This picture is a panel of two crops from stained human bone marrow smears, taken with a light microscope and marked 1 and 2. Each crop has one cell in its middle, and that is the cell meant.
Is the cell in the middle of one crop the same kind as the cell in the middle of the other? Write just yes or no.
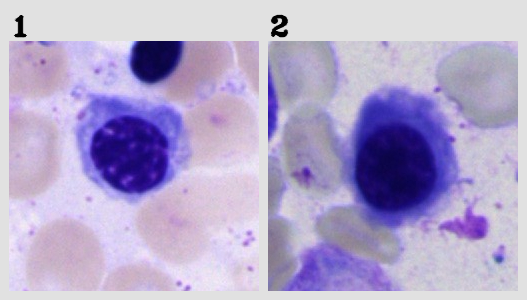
yes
